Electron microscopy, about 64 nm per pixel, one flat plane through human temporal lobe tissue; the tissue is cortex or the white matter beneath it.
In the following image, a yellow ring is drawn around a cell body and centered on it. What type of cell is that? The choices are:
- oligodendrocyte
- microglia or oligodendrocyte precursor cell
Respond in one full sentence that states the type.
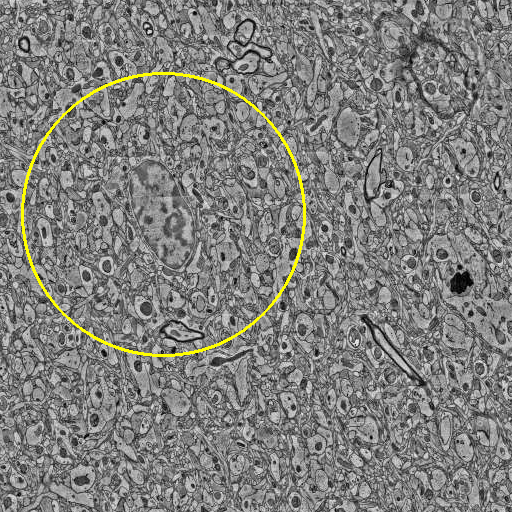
The cell at the center of the yellow ring in the image is a microglial cell or oligodendrocyte precursor cell.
